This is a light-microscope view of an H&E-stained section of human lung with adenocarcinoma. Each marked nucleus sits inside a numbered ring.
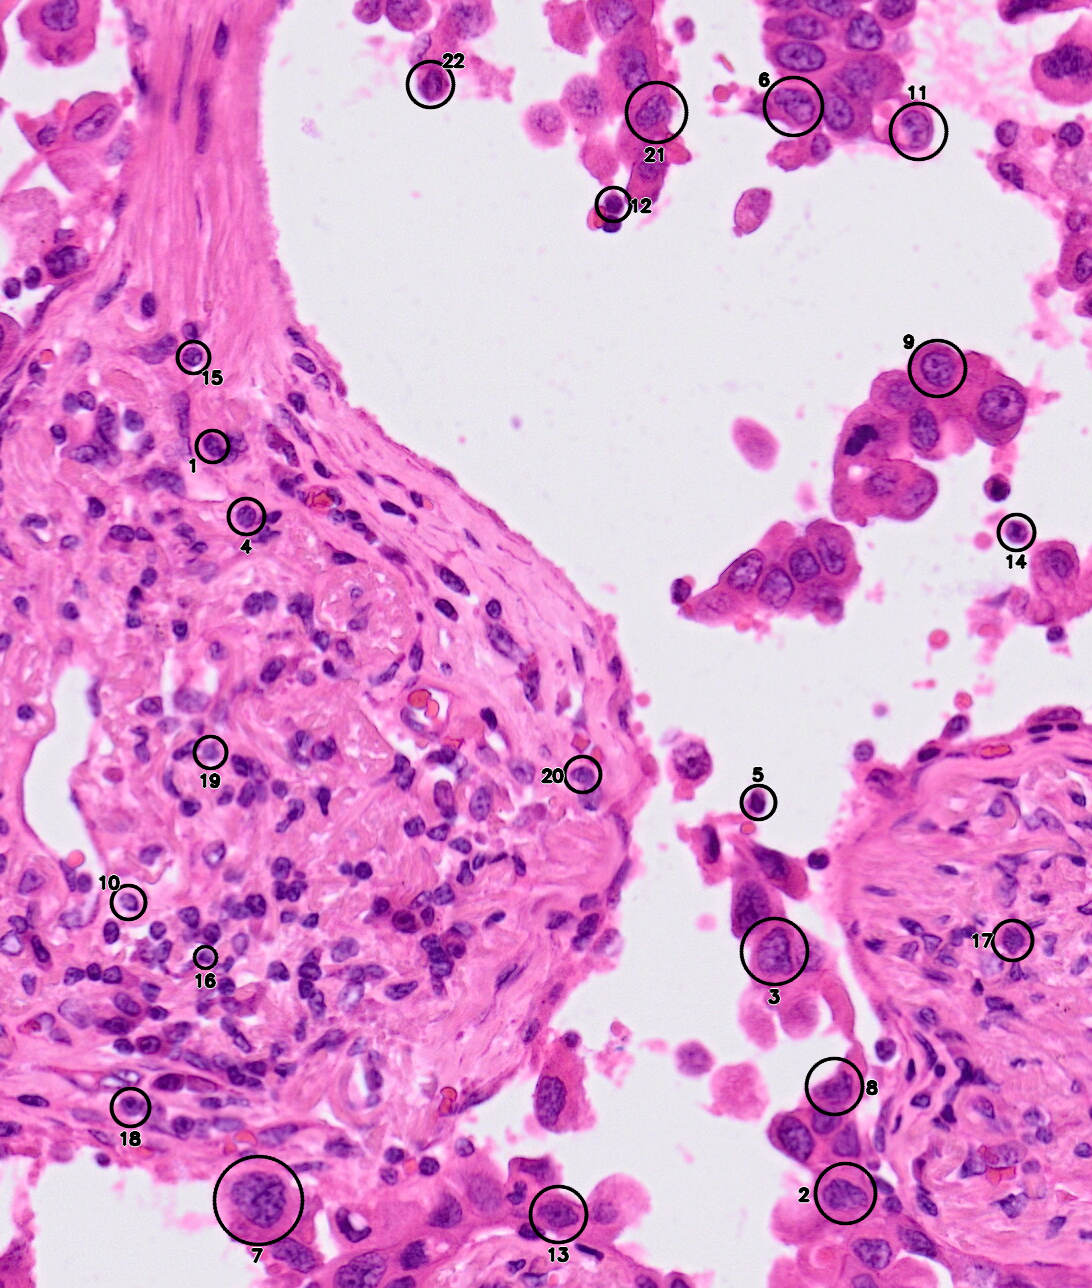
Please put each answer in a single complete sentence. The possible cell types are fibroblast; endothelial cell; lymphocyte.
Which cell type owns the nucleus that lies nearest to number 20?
It is a fibroblast whose nucleus is nearest to number 20.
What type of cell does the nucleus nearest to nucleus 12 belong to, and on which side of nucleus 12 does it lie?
The nearest nucleus is that of a lymphocyte and lies below nucleus 12.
